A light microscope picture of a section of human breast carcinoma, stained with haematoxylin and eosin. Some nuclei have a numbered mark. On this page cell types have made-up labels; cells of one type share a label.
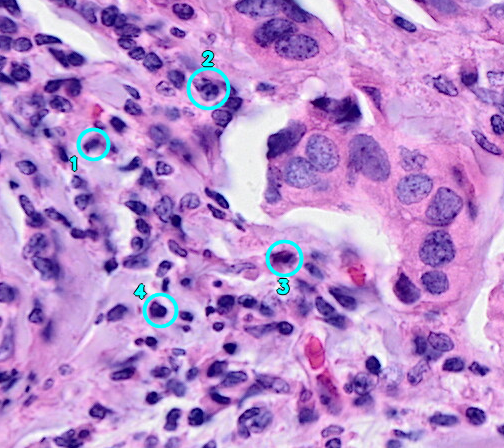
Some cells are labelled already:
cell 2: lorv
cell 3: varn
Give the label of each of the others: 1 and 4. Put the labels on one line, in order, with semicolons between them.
lorv; lorv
